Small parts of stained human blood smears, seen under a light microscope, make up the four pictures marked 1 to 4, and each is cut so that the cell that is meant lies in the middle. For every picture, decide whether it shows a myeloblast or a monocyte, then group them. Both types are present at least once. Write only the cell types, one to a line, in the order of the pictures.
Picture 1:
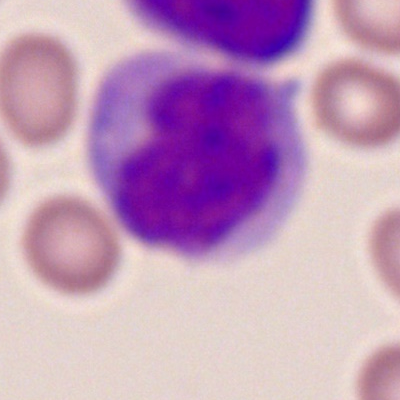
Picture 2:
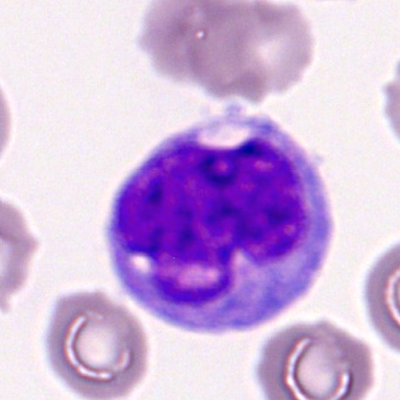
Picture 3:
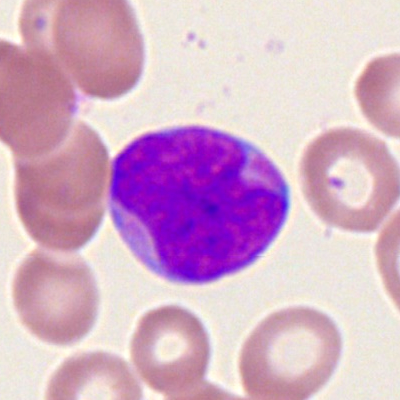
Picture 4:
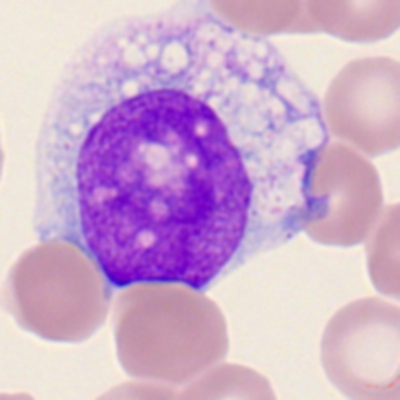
monocyte
monocyte
myeloblast
monocyte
